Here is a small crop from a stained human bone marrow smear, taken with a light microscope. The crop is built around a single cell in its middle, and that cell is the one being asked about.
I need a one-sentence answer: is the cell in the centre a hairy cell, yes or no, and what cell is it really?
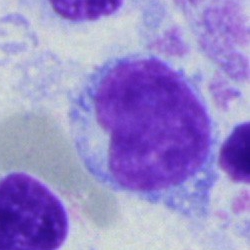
Yes, shown in the middle of the crop is a hairy cell.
